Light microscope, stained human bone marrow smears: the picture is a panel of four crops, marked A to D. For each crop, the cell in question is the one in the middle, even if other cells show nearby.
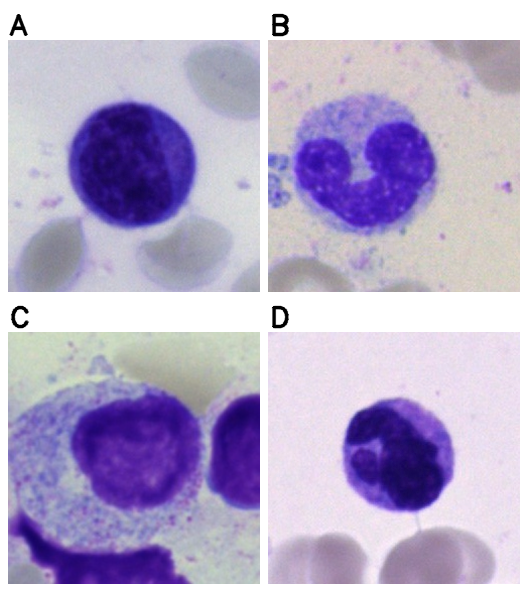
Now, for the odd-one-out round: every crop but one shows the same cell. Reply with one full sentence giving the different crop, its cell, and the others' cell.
The different crop is crop C, a myelocyte; all the others show monocytes.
